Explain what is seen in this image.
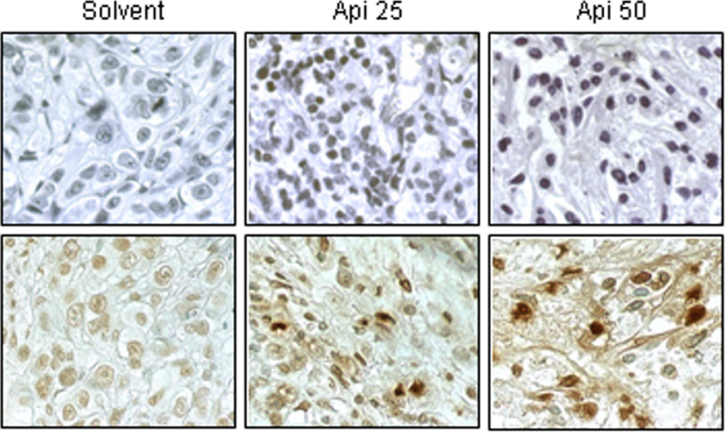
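These are sections of a solid tumor made up of densely packed cells with large rounded or oval nuclei and pale cytoplasm, lying among thin strands of stroma. In the upper row many nuclei are stained, some grey to brown and others dark purple, against a pale background. In the lower row most nuclei are only faintly tan, but scattered cells stand out with an intensely dark brown stain, and some of them look small and condensed or broken into clumps.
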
